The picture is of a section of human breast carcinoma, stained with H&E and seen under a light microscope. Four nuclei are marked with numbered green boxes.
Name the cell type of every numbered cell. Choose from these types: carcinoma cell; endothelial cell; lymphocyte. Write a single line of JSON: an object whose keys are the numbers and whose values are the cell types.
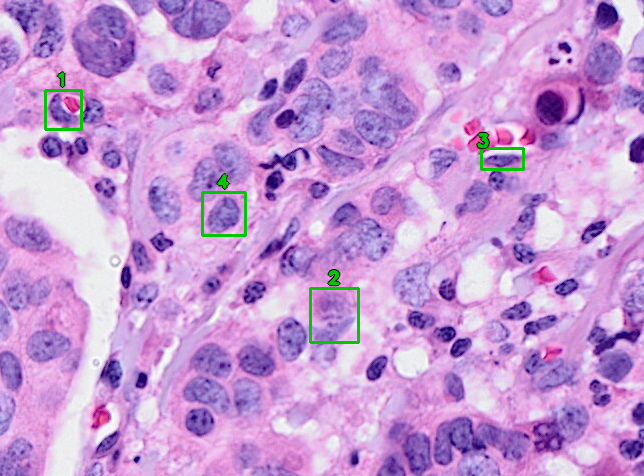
{"1": "endothelial cell", "2": "carcinoma cell", "3": "endothelial cell", "4": "carcinoma cell"}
